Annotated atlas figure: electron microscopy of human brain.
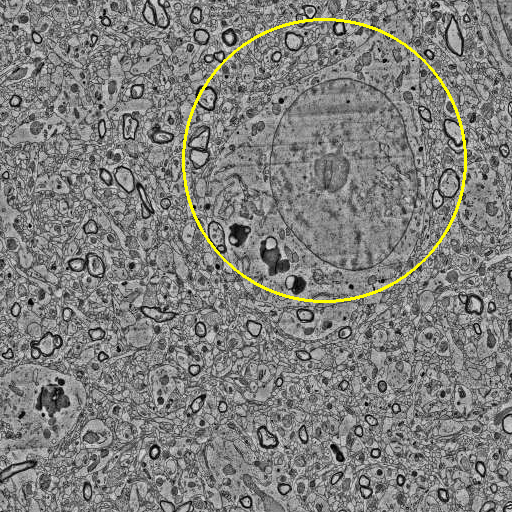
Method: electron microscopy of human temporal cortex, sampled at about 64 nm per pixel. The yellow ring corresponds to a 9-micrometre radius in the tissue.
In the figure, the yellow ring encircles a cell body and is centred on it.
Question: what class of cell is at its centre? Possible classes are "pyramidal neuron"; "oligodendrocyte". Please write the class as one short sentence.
The yellow ring is drawn around a pyramidal neuron.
